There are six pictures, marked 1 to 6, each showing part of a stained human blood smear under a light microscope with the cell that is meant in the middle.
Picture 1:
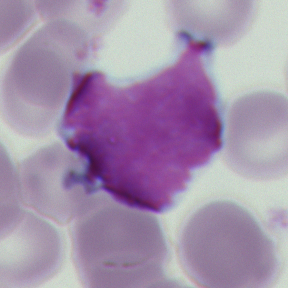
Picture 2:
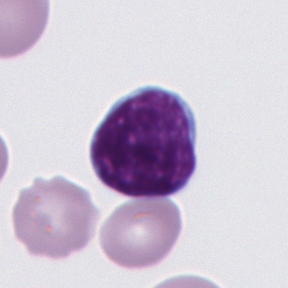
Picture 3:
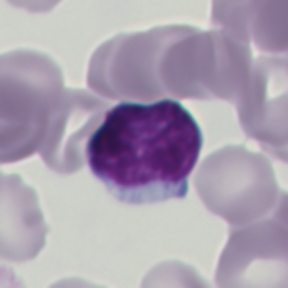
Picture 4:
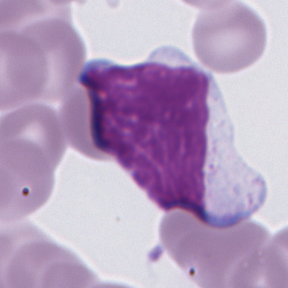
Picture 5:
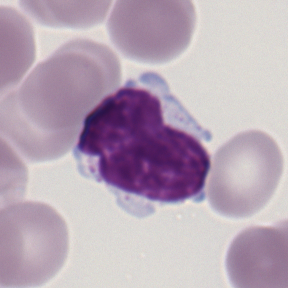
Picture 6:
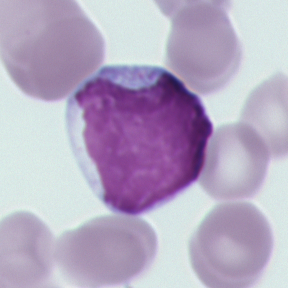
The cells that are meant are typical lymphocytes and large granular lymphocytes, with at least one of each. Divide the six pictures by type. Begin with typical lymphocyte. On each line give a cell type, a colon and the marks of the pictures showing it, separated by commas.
typical lymphocyte: 1, 2, 3
large granular lymphocyte: 4, 5, 6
